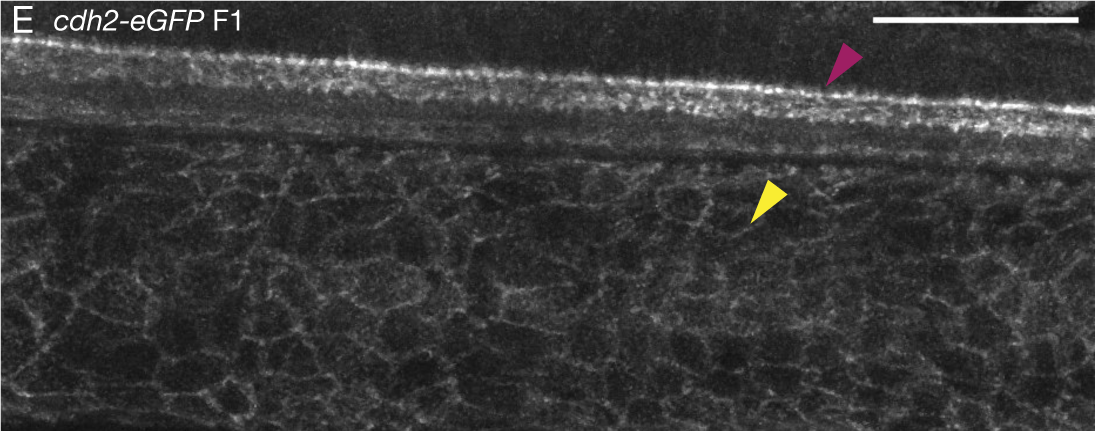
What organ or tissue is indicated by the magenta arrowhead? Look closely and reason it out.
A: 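A narrow bright longitudinal band at the top edge. It lies directly above the band of large polygonal cells.
Spinal cord.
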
